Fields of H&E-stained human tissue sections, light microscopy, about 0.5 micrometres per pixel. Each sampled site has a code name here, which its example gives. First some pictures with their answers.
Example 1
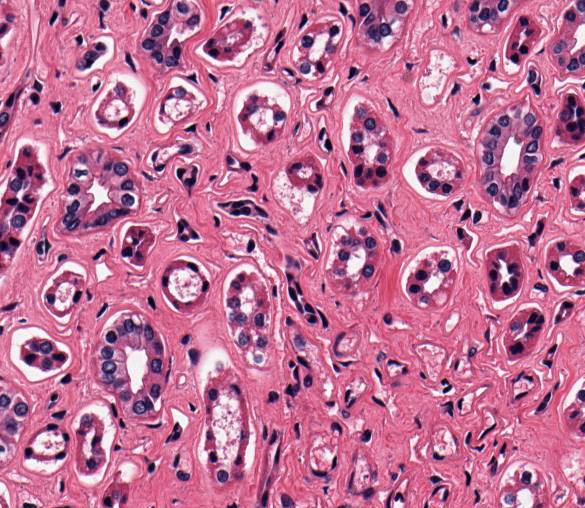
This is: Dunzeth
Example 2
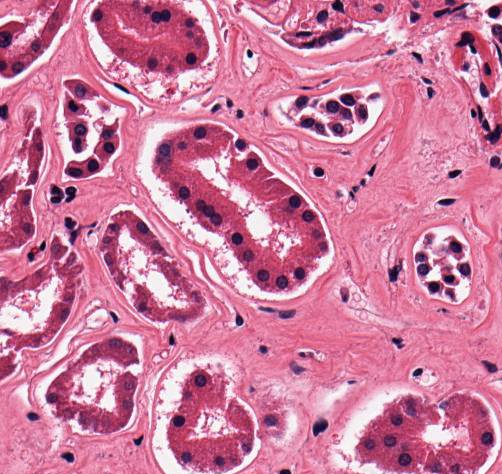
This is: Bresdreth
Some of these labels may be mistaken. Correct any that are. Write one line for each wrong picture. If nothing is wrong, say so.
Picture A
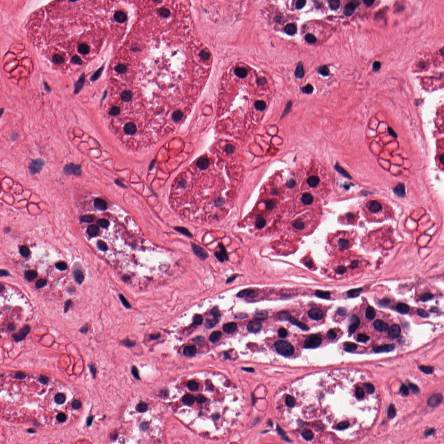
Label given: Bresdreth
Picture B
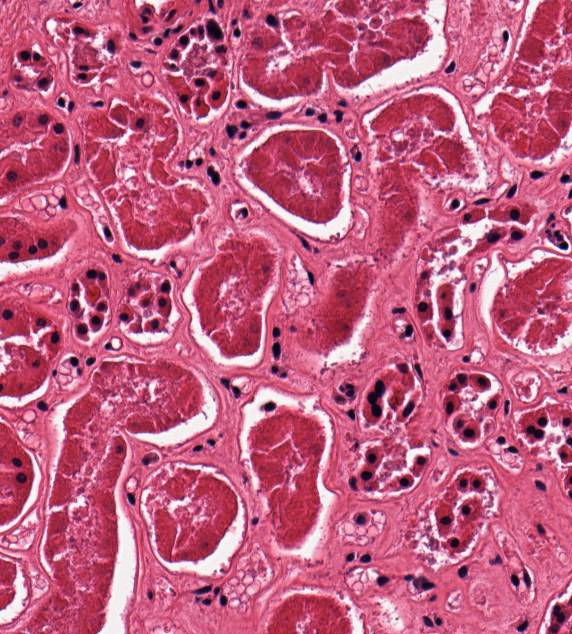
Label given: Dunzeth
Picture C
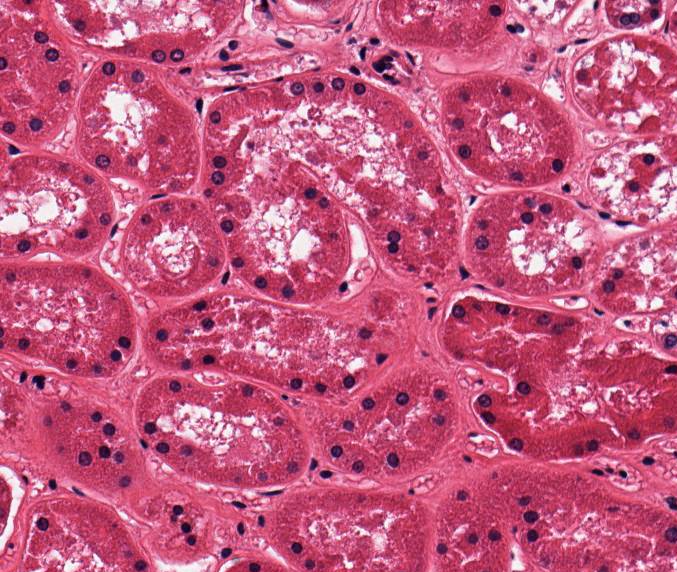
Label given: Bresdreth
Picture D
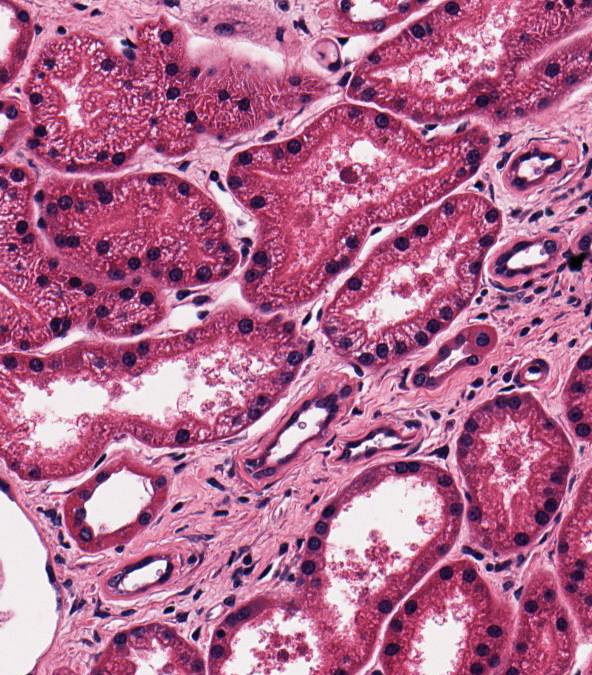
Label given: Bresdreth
B: not Dunzeth but Bresdreth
